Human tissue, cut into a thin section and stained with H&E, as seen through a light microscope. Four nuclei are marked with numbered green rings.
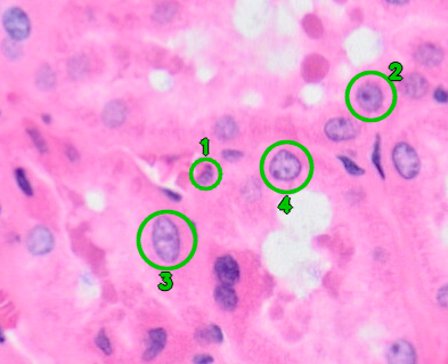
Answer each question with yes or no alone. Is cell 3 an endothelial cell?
no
